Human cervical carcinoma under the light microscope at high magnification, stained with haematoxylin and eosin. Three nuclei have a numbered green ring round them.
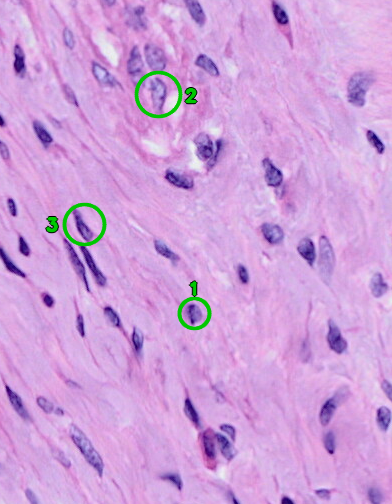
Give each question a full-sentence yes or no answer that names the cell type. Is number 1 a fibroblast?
Yes, in this section the cell with number 1 is a fibroblast.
